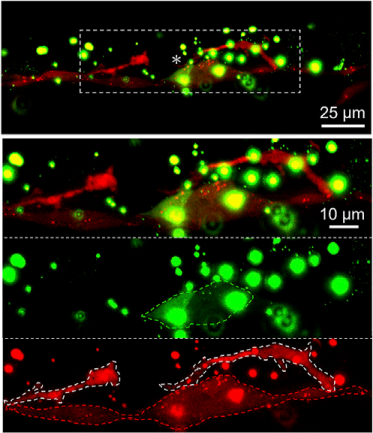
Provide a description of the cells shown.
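The top image shows a strand of red elongated cells with many round bright green and yellow spots scattered around it. In the magnified strips, one cell in the strand shows a diffuse dim green fill in the middle strip. In the bottom red strip, an elongated red cell with irregular, branching processes is outlined, lying over a larger, broader red cell along the strand.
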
